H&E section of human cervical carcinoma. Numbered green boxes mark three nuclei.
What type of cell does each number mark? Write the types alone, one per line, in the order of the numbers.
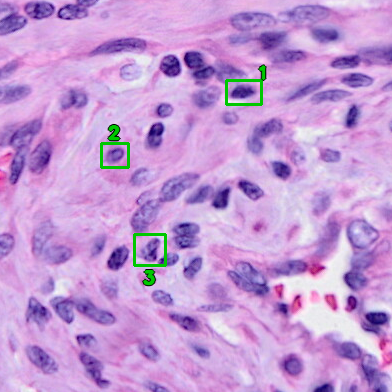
lymphocyte
smooth muscle cell
lymphocyte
